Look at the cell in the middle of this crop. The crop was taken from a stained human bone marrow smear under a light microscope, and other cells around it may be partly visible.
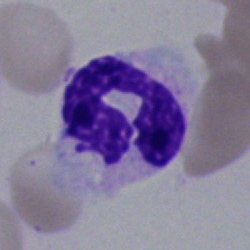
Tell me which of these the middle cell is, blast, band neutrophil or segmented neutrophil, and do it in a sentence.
The cell featured at the centre of this crop is a segmented neutrophil.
